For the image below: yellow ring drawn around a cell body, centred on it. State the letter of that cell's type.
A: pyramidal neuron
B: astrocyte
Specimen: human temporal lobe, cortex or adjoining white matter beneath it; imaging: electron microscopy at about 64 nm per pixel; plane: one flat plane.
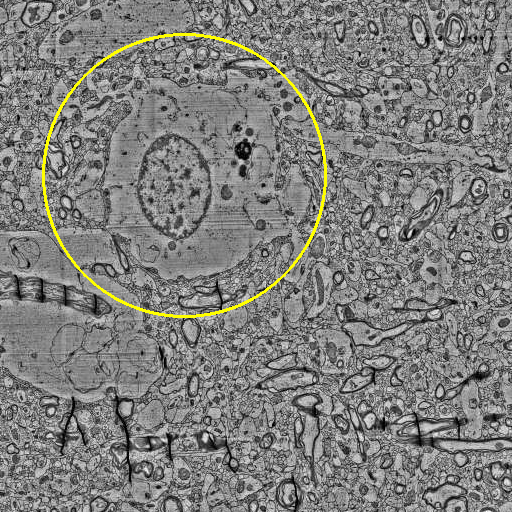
B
